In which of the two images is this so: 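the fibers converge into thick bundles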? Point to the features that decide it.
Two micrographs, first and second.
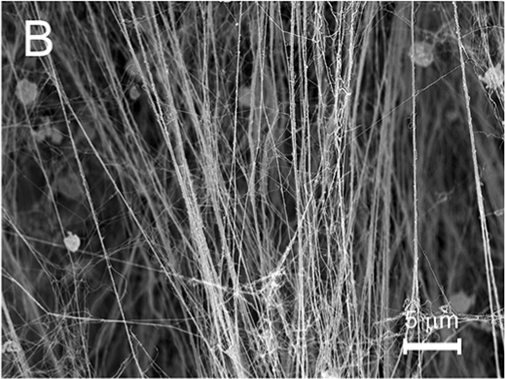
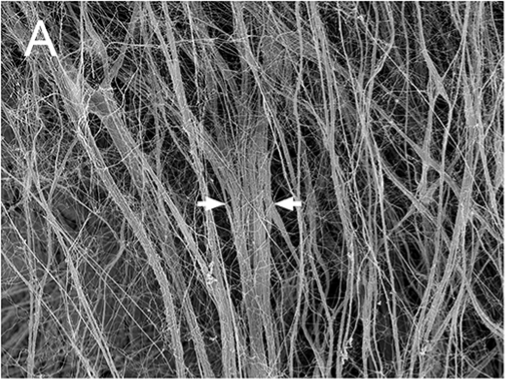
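First image: thin, mostly separate straight fibers with no broad bundles. Second image: many fibers merge into broad, thick bundles.
Conclusion: the second image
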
